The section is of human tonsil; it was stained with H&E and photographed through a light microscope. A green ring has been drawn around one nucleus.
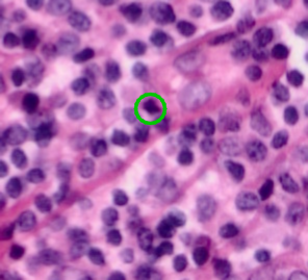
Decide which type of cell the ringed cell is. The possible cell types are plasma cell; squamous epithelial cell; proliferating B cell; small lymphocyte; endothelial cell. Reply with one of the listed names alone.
endothelial cell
